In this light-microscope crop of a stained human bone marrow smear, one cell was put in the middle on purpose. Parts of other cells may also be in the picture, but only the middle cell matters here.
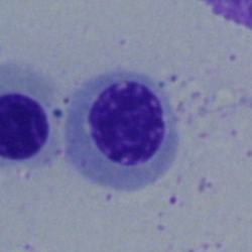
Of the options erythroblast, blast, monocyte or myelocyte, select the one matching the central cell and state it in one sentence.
The cell of interest, located centrally, is an erythroblast.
